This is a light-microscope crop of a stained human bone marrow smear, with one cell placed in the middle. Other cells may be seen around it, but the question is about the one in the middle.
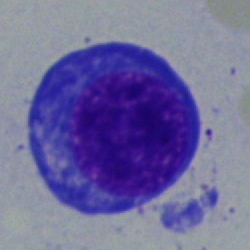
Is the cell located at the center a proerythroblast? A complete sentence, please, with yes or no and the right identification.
Yes, it is a proerythroblast that lies in the middle.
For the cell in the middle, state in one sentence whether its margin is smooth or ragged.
The border of this cell runs smooth and free of any projections.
